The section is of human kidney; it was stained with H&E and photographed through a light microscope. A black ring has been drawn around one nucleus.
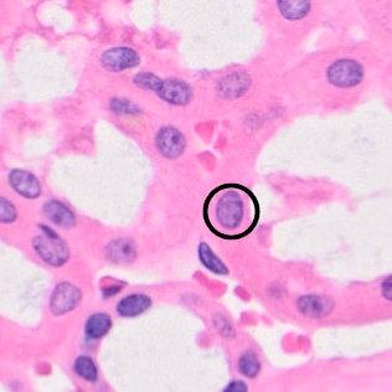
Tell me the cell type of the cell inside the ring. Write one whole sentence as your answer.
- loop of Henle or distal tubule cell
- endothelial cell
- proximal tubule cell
Cytologically, the cell inside the ring is to be regarded as a proximal tubule cell.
